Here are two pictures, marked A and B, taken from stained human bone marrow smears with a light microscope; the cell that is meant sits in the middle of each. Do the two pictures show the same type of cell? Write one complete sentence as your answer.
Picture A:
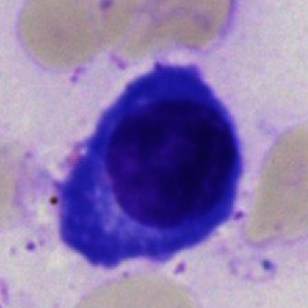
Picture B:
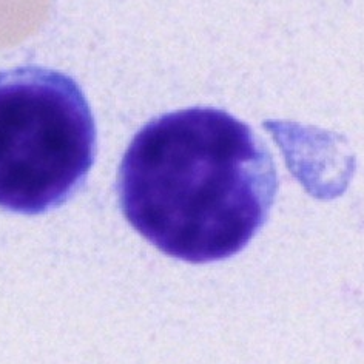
No, picture A shows a plasma cell and picture B shows a lymphocyte.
